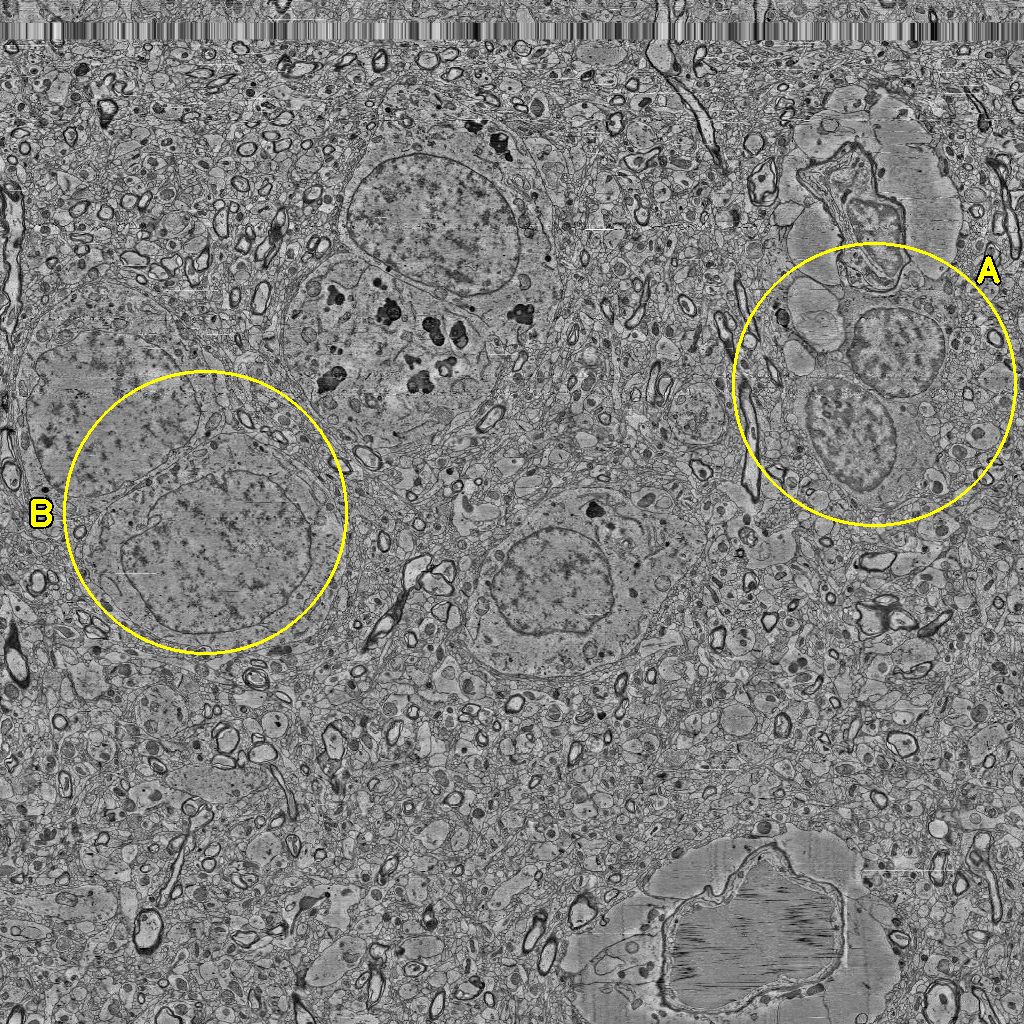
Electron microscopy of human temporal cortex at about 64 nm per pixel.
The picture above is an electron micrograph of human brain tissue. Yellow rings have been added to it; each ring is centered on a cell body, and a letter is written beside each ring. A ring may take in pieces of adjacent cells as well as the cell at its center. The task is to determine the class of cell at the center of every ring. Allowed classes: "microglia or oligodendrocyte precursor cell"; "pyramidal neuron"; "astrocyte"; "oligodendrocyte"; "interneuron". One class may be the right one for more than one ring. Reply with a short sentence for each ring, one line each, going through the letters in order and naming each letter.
Ring A is centered on an oligodendrocyte.
Ring B is centered on a pyramidal neuron.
